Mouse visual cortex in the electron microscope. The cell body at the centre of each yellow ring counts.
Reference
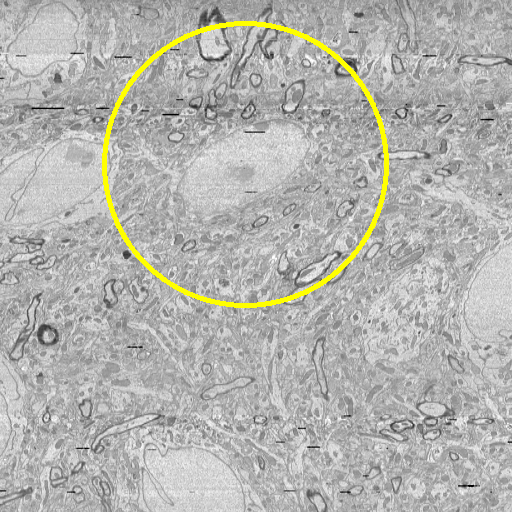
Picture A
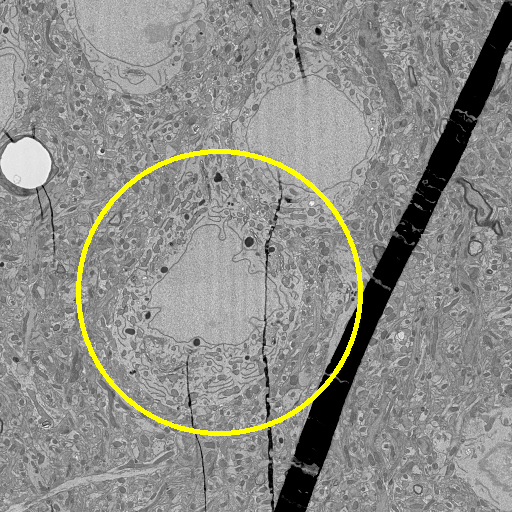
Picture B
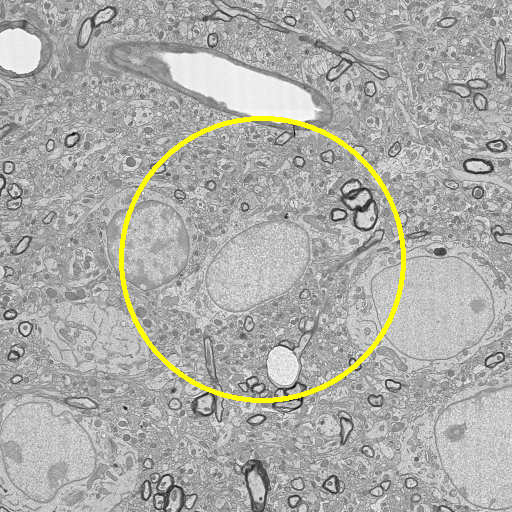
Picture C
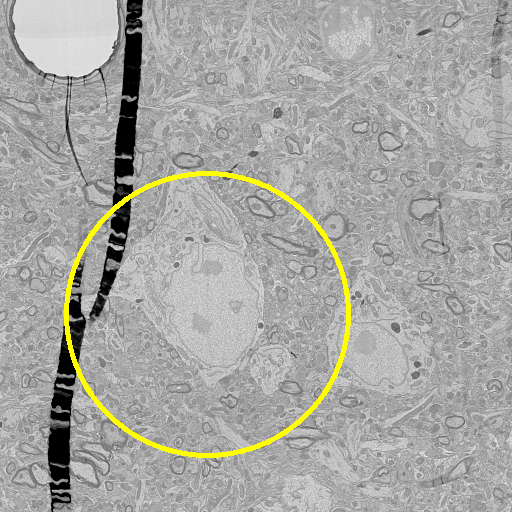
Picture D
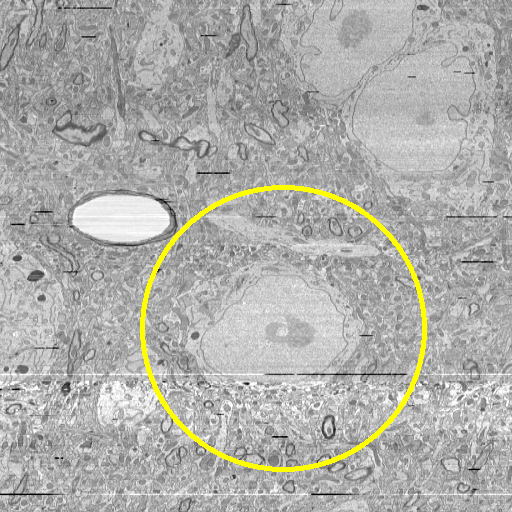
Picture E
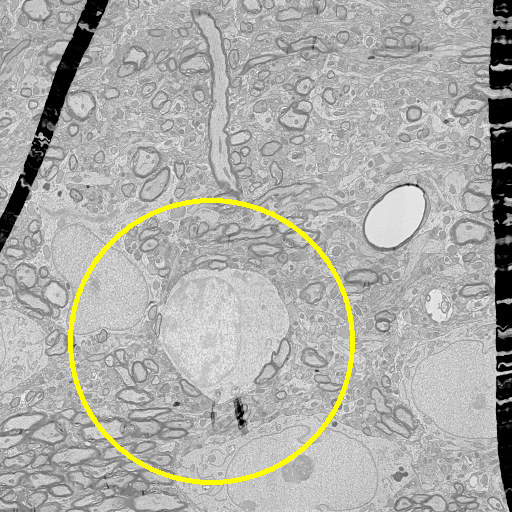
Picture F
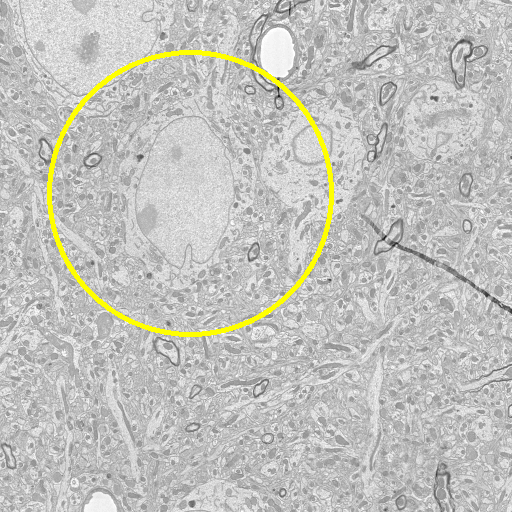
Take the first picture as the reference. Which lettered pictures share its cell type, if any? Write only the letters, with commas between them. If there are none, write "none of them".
B, E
